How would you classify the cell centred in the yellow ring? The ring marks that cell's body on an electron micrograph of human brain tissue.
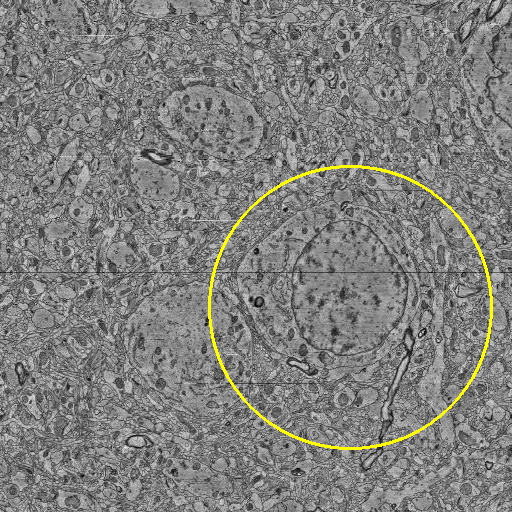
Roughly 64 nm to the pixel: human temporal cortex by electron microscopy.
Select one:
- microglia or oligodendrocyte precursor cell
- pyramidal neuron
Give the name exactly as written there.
pyramidal neuron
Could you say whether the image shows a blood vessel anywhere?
No, no vessel appears in the picture.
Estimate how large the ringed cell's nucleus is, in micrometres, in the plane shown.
The nucleus comes to roughly 9 by 7 micrometres in this plane.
